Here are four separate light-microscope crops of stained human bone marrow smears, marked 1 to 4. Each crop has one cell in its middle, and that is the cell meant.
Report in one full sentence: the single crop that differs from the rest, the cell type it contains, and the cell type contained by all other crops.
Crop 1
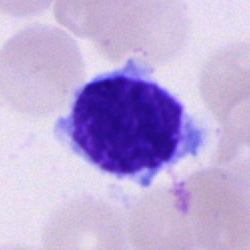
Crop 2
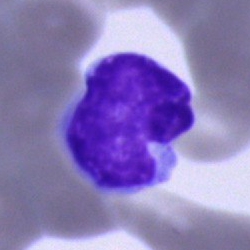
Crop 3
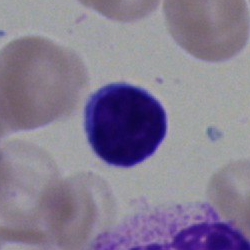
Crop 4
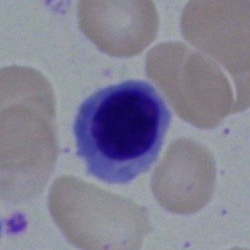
A different cell type, an erythroblast, occupies crop 4; the other crops show lymphocytes.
